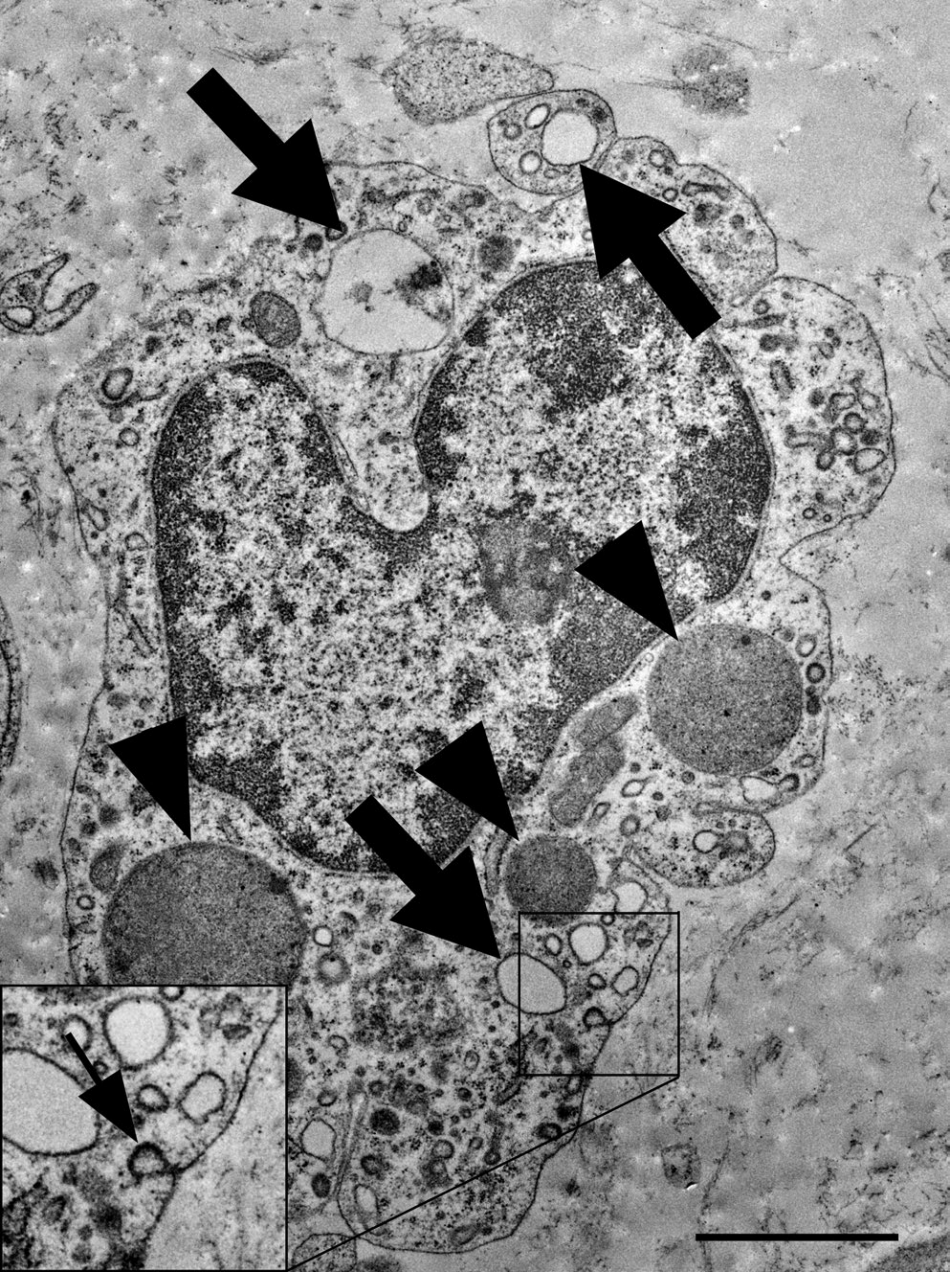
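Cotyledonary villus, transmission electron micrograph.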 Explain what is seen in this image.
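The cell is irregular in outline, with blunt cytoplasmic protrusions. Its nucleus is large and deeply indented, with clumps of dense chromatin along the nuclear envelope and scattered through the nucleoplasm. The cytoplasm is rich in organelles: several large round lysosomes with homogeneous dark content, pale vacuoles of varying size, some holding fluffy flocculent material, numerous small round vesicles, a few mitochondria, and coated vesicles near the surface. Around the cell lies pale extracellular matrix with fine scattered fibrils and small profiles of neighbouring cell processes.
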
